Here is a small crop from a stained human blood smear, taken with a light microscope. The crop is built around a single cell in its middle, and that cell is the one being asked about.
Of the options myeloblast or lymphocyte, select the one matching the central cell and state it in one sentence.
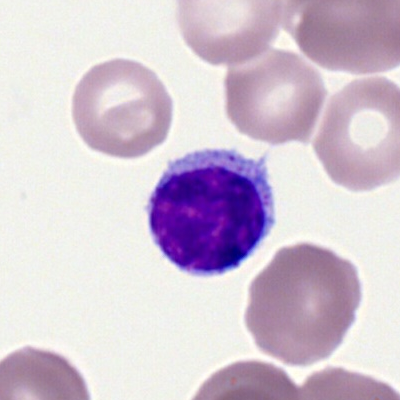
The cell of interest, in the center, is a lymphocyte.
